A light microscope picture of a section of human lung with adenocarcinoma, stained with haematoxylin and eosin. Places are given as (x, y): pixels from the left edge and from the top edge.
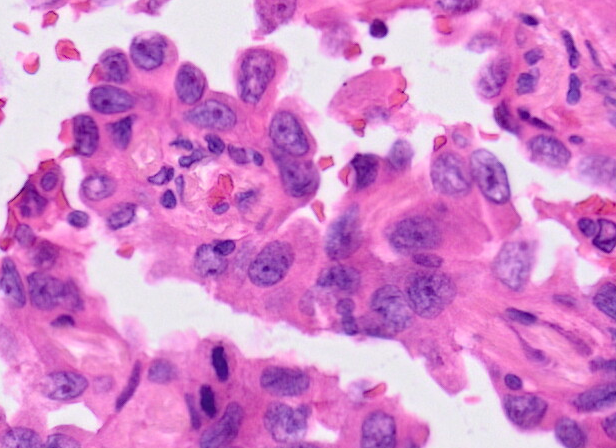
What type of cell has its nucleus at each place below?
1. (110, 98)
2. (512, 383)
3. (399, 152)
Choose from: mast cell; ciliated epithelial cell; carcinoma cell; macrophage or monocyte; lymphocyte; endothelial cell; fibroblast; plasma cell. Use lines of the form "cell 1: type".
cell 1: carcinoma cell
cell 2: lymphocyte
cell 3: carcinoma cell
